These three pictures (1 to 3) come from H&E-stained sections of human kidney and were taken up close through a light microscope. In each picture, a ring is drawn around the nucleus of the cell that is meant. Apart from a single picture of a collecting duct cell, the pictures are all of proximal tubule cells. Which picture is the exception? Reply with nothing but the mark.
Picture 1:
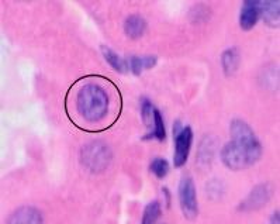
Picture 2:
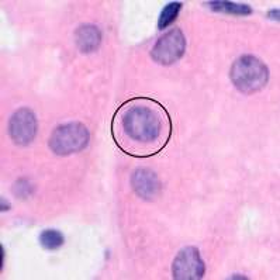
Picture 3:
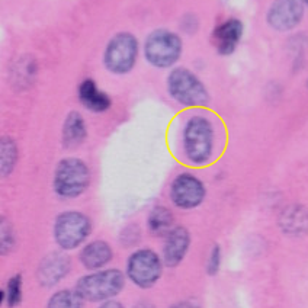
3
